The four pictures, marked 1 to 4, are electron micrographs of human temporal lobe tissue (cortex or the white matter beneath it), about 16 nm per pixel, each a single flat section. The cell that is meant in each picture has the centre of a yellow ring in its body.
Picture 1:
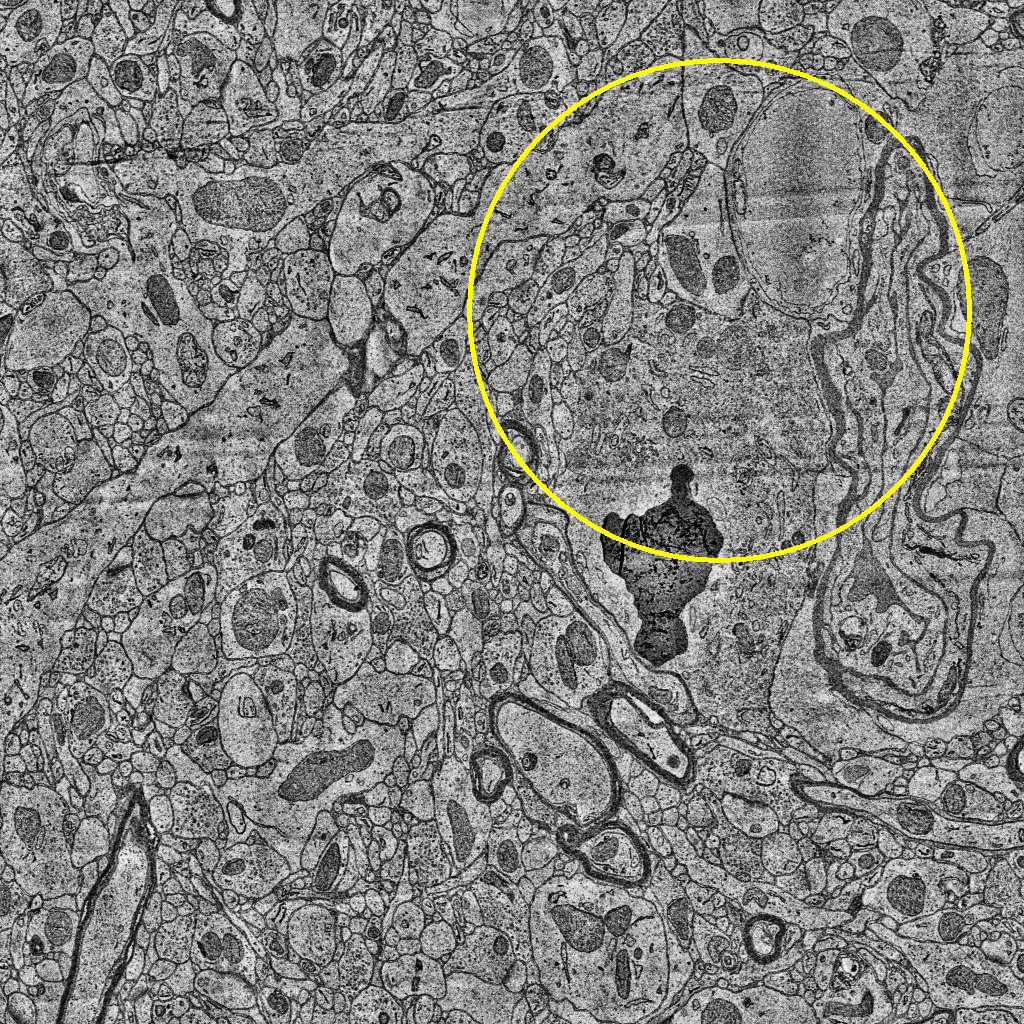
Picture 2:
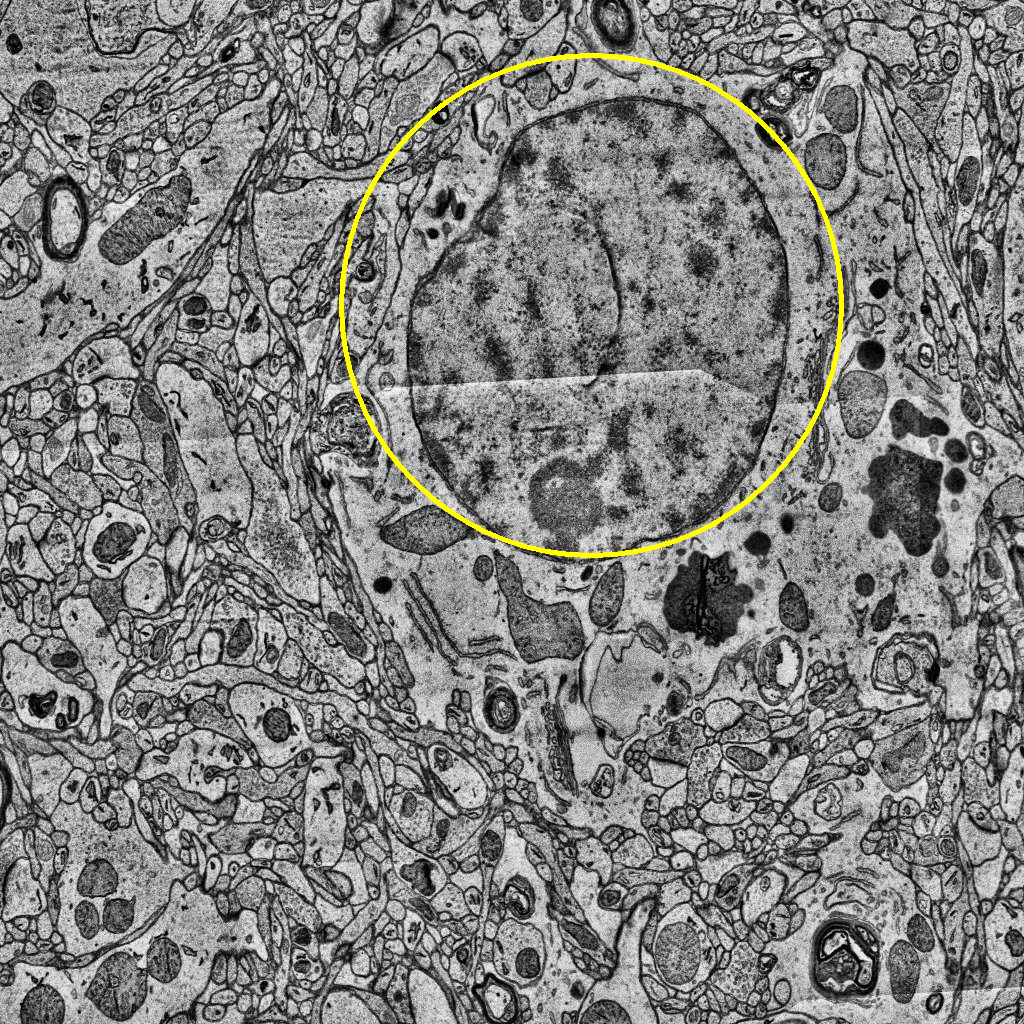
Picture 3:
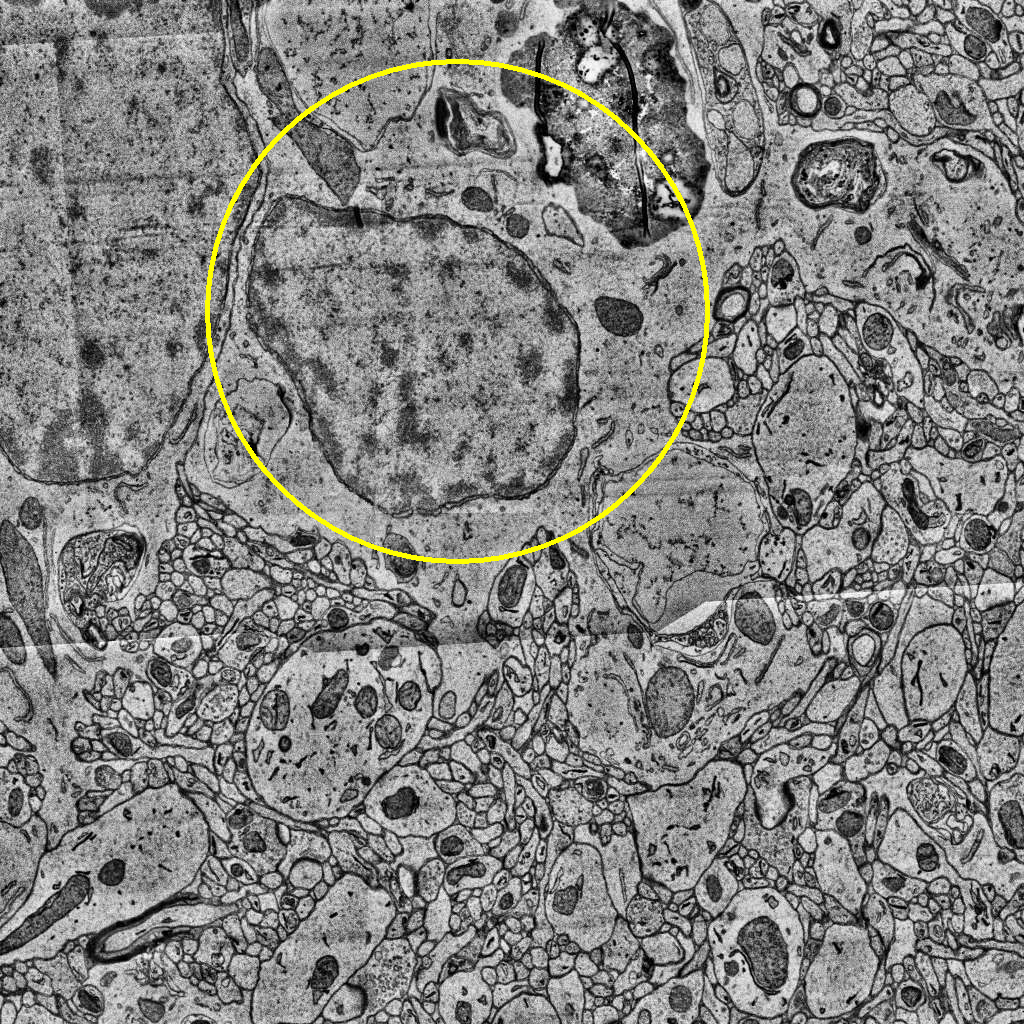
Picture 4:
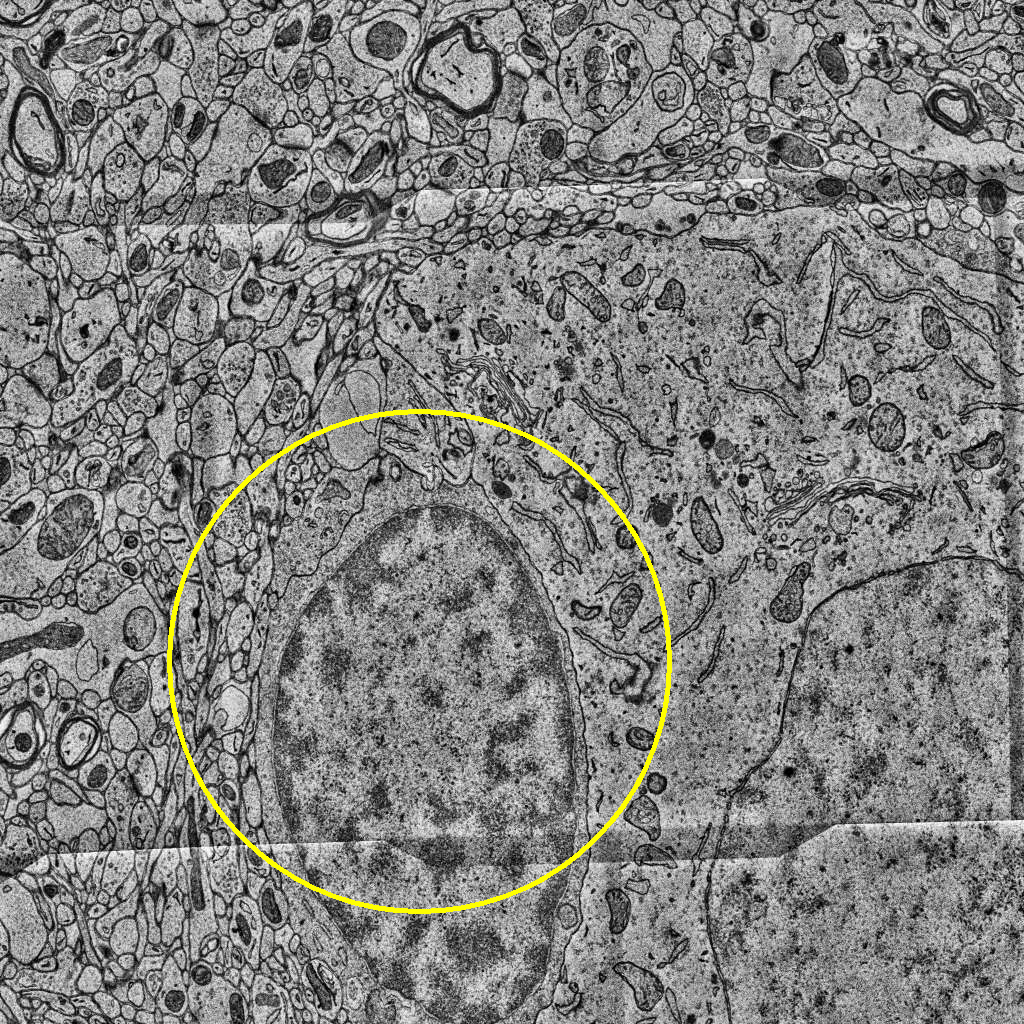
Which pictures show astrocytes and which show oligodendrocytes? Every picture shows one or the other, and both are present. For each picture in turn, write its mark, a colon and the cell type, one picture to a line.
1: oligodendrocyte
2: astrocyte
3: astrocyte
4: oligodendrocyte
